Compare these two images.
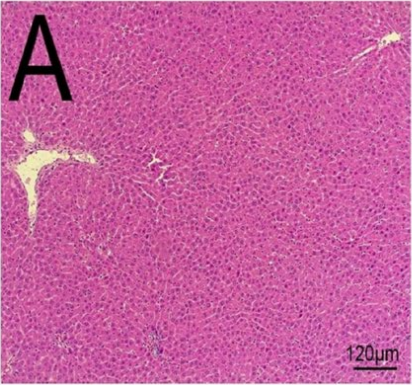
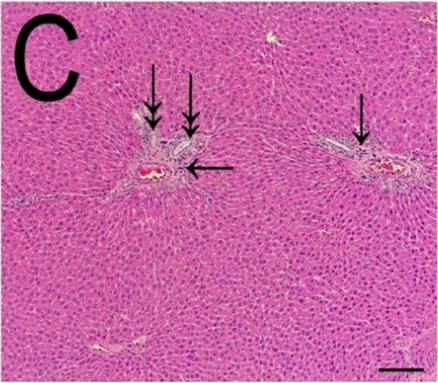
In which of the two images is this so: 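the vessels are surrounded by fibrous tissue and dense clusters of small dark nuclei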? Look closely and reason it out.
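Second image: pale fibrous bands and crowded dark nuclei encircle blood-filled vessels. First image: thin-walled empty vessels sit directly among regular liver cords.
Hence: the second image.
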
